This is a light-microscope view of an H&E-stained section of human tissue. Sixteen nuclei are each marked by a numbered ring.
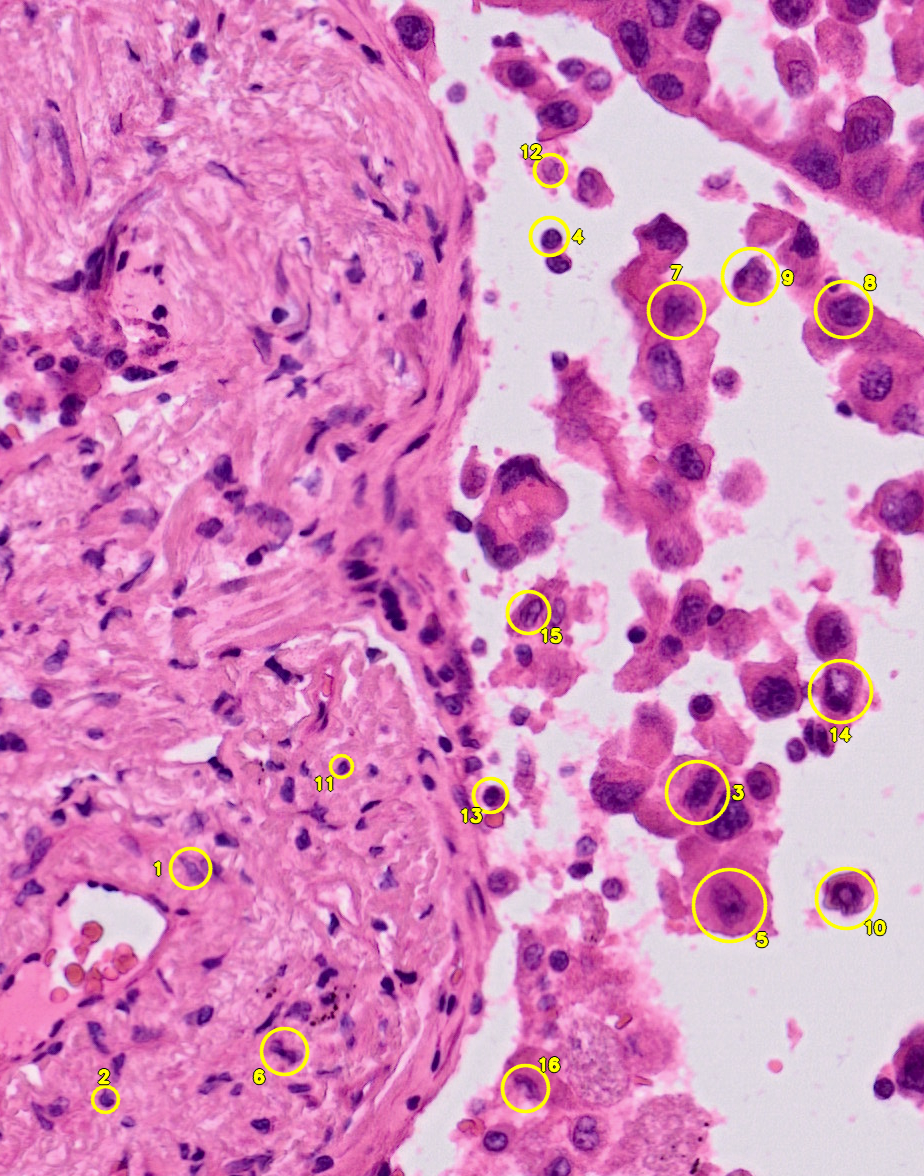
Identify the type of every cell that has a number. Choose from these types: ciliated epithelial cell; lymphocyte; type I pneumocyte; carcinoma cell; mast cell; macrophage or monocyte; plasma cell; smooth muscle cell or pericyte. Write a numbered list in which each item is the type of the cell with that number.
1. smooth muscle cell or pericyte
2. smooth muscle cell or pericyte
3. carcinoma cell
4. lymphocyte
5. carcinoma cell
6. plasma cell
7. carcinoma cell
8. carcinoma cell
9. carcinoma cell
10. carcinoma cell
11. smooth muscle cell or pericyte
12. macrophage or monocyte
13. lymphocyte
14. carcinoma cell
15. macrophage or monocyte
16. macrophage or monocyte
